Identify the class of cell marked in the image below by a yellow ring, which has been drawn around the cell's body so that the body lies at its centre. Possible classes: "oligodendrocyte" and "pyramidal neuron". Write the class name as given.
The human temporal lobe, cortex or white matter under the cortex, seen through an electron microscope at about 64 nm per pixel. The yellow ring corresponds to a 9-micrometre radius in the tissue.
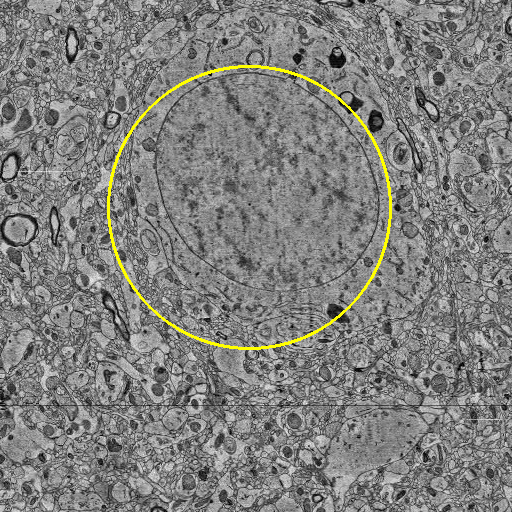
pyramidal neuron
